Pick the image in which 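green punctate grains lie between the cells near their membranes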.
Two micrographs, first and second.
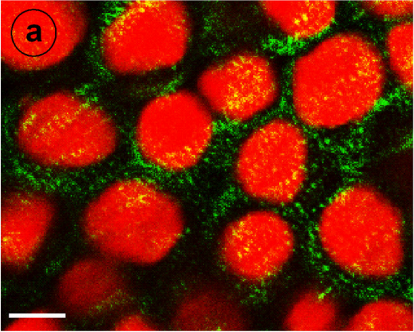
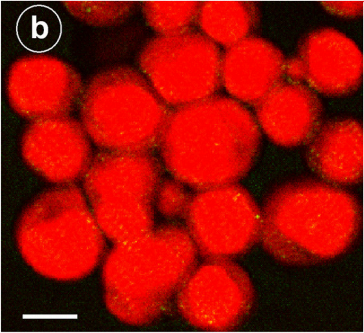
The first image.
